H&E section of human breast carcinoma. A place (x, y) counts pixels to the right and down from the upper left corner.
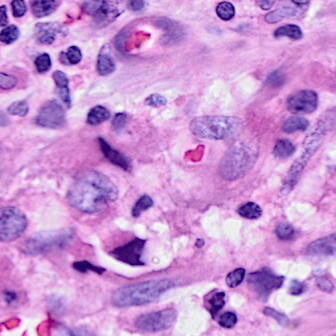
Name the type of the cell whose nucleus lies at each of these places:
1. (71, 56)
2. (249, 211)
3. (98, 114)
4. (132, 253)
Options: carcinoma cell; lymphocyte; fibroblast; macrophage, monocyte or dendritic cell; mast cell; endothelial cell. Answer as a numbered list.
1. lymphocyte
2. lymphocyte
3. lymphocyte
4. carcinoma cell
